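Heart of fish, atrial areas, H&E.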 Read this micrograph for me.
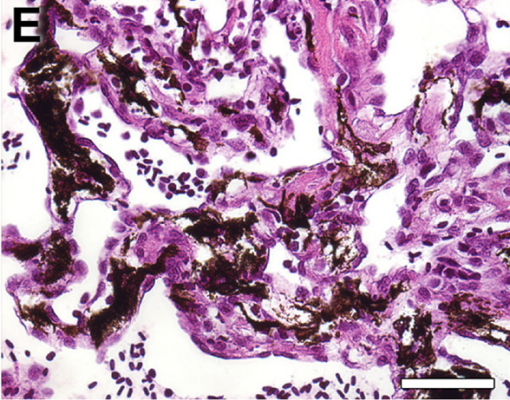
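This shows the spongy trabecular tissue of the atrium with heavy melanin deposits. Thin pink-purple trabeculae with many small purple nuclei are lined and filled by dense black-brown pigment, and red blood cells lie in the spaces between them.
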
